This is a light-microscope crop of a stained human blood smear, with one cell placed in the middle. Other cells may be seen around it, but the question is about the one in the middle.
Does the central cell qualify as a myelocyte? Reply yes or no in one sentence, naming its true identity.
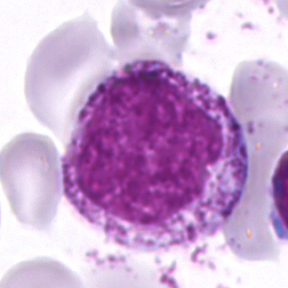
Yes, the cell occupying the middle of the crop is a myelocyte.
